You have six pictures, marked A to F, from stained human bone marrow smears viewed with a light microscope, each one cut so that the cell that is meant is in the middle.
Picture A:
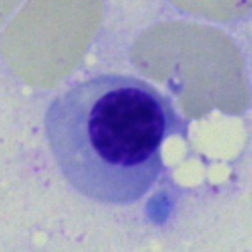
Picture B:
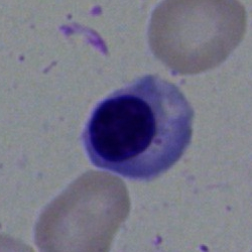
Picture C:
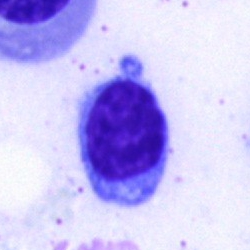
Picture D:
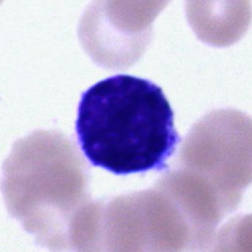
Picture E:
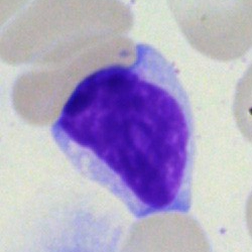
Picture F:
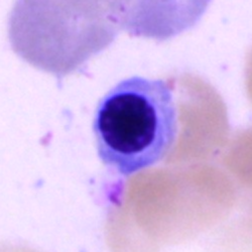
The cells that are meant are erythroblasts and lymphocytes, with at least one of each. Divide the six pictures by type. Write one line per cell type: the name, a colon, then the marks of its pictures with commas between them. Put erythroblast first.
erythroblast: A, B, F
lymphocyte: C, D, E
